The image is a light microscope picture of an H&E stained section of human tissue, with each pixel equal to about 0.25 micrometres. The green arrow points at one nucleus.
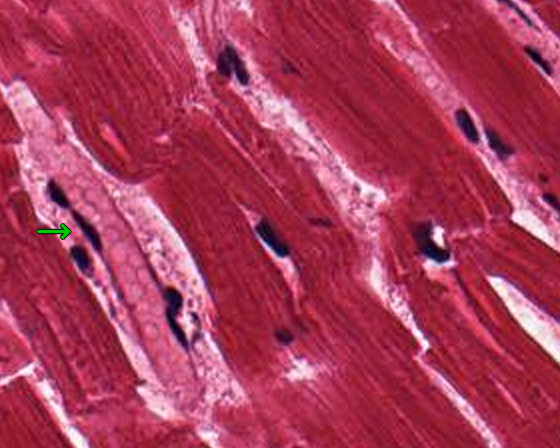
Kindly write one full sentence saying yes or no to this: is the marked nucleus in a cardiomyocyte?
No, the cell whose nucleus is marked is a supporting cell and not a cardiomyocyte.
